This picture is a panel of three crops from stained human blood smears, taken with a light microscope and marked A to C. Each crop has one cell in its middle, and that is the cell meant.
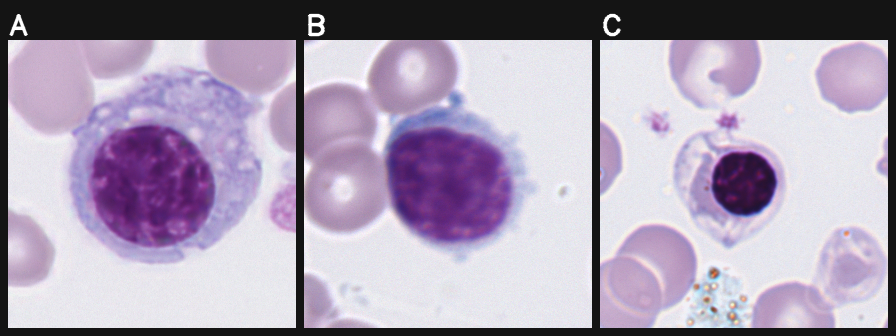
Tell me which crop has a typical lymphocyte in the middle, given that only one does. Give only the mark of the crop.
B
